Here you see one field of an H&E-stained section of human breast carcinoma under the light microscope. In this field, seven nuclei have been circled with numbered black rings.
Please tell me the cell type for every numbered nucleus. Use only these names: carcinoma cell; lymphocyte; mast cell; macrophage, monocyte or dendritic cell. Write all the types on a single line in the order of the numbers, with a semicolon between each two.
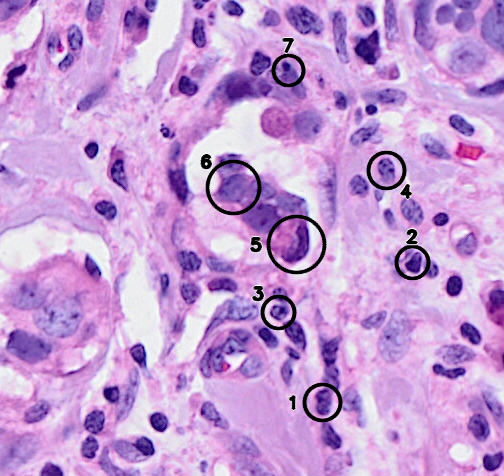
lymphocyte; lymphocyte; lymphocyte; mast cell; carcinoma cell; carcinoma cell; lymphocyte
